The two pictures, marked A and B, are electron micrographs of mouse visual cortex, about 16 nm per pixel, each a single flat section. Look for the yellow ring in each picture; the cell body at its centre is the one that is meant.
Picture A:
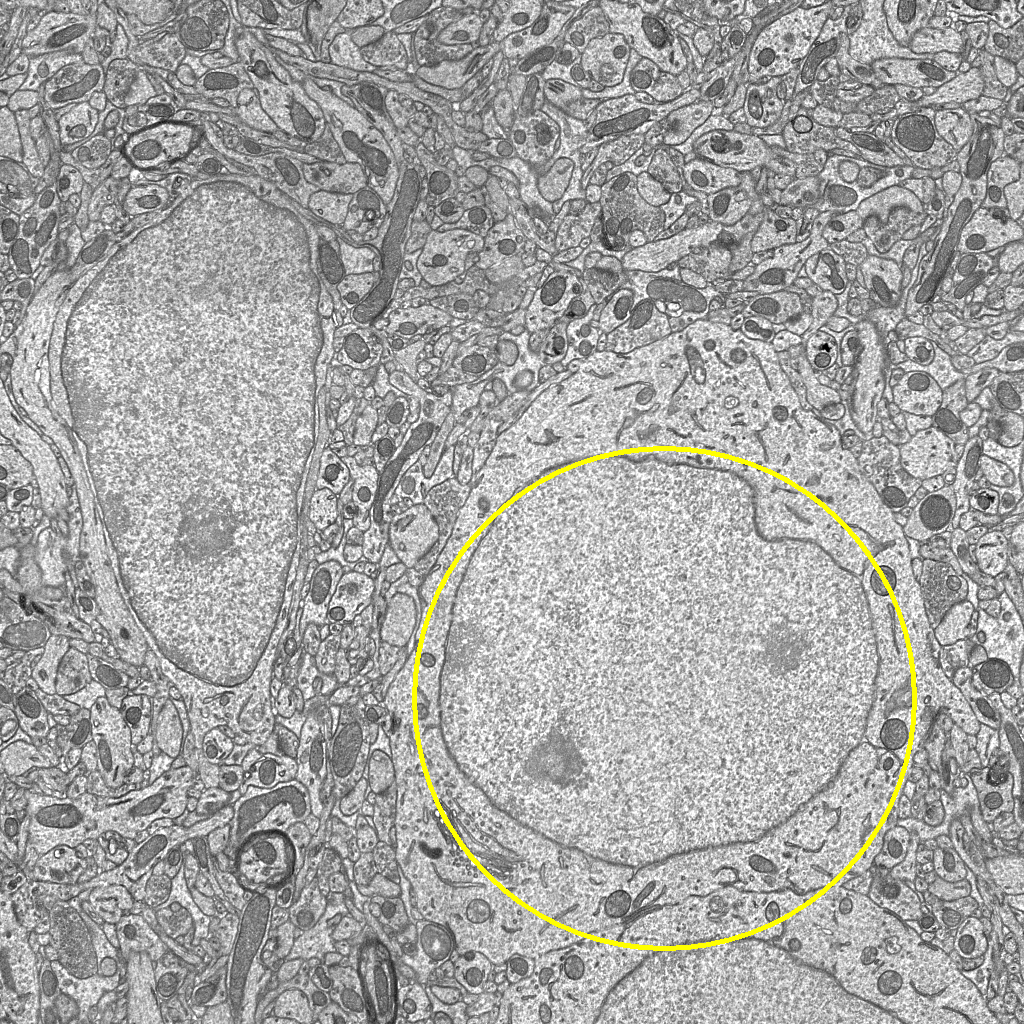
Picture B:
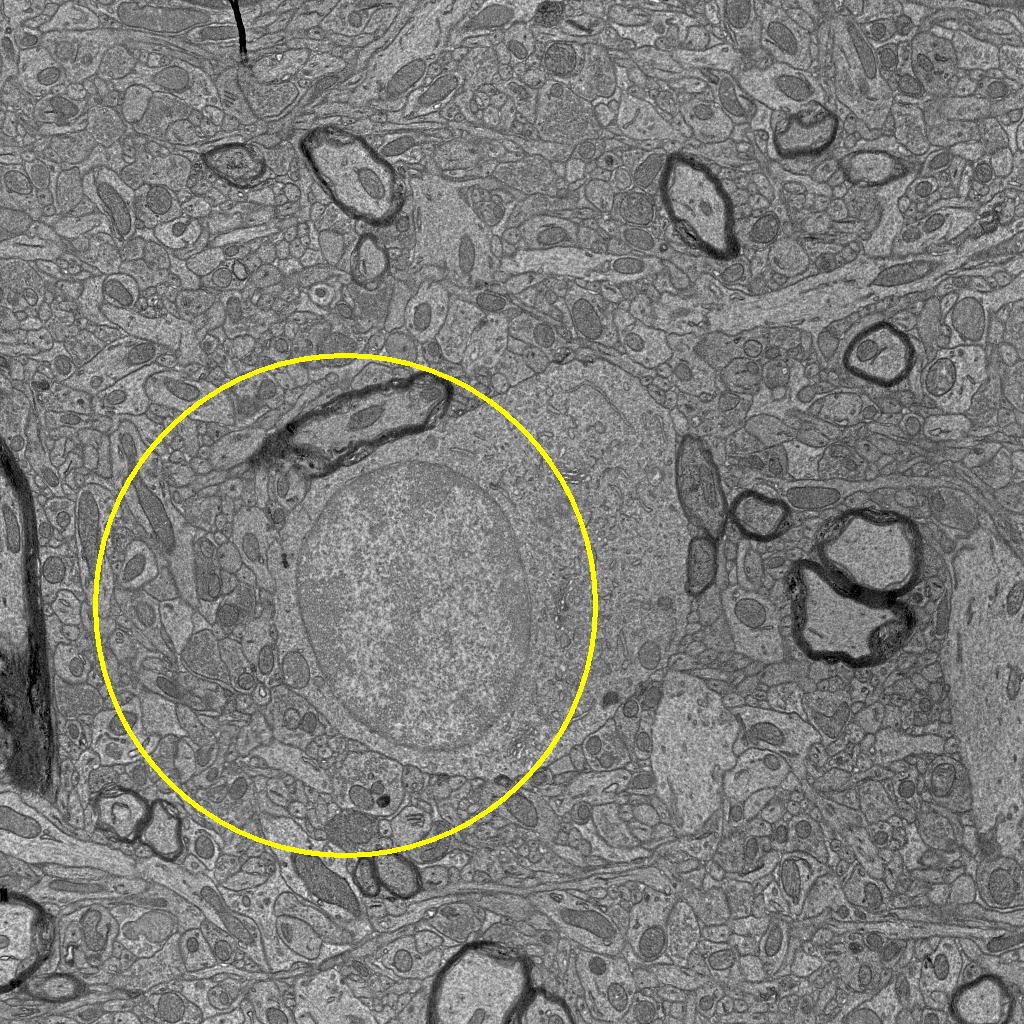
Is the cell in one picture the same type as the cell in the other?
No; the cell in picture A is an excitatory neuron, while the one in picture B is an oligodendrocyte.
